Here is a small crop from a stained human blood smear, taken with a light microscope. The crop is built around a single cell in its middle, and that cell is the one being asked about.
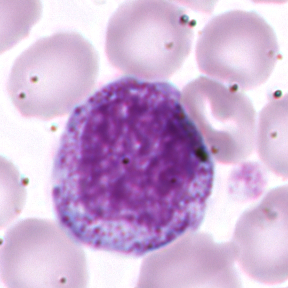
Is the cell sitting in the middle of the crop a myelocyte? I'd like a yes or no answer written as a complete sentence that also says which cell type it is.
Yes, the cell positioned at the centre of the crop is a myelocyte.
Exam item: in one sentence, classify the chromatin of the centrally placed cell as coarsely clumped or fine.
There is no coarse clumping; the chromatin stays fine throughout.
